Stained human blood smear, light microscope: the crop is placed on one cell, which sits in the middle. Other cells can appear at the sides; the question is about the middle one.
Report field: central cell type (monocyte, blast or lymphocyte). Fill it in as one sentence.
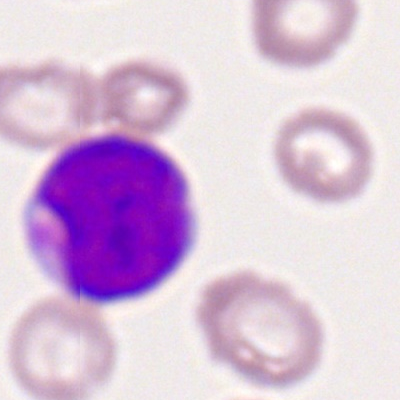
The cell at the centre of the field is a blast.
